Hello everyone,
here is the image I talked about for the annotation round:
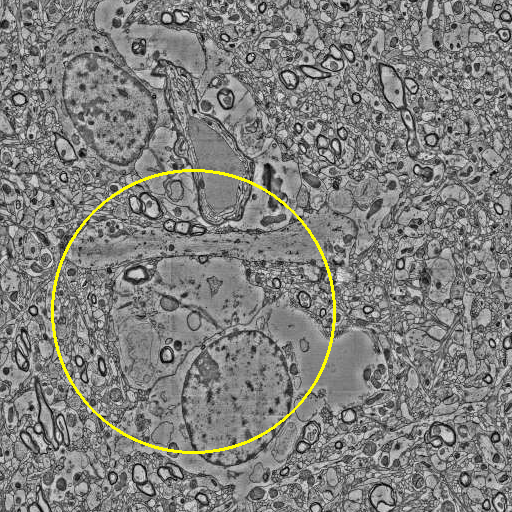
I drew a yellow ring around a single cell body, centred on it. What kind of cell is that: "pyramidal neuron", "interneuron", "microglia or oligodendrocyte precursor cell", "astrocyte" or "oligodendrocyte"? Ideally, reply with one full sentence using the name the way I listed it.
The cell your yellow ring is centred on is an astrocyte, going by your list.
